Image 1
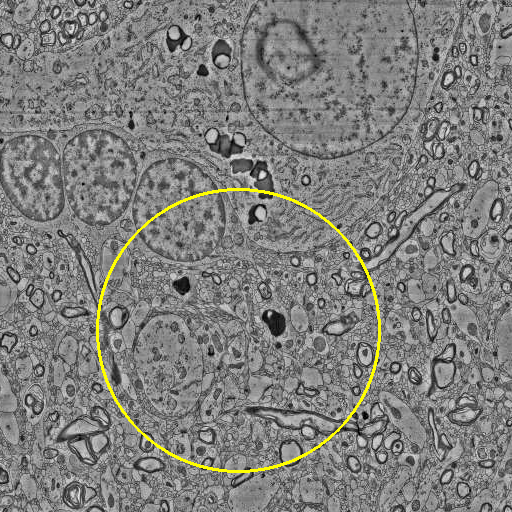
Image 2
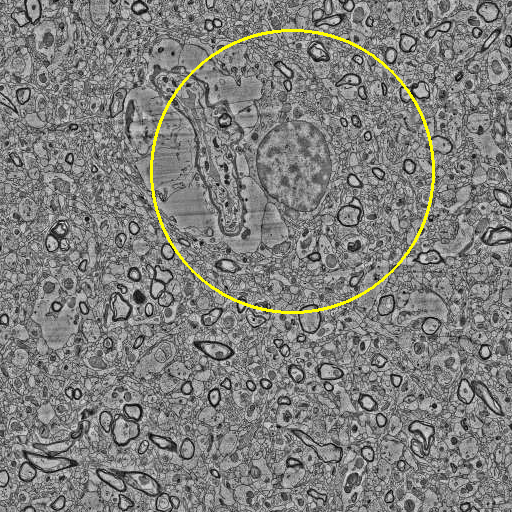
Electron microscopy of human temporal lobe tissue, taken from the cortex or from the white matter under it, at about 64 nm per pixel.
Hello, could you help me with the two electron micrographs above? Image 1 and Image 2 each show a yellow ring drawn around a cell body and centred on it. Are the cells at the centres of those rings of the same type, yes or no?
no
